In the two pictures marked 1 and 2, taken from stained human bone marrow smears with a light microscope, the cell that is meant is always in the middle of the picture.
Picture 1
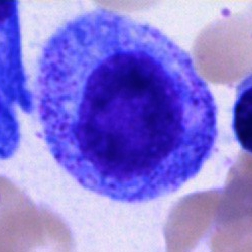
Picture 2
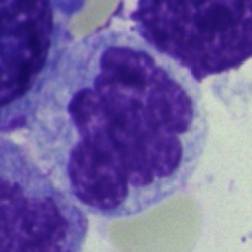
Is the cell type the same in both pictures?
no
